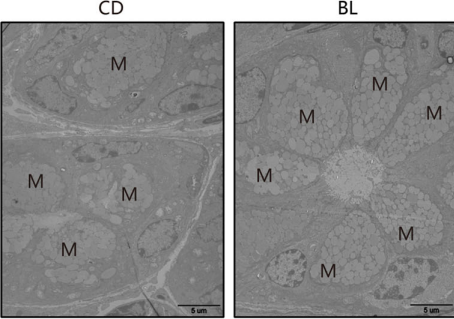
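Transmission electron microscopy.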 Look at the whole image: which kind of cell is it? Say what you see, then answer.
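Cells whose cytoplasm is filled with masses of pale round granules. In one image the granule-filled cells are arranged radially around a small central lumen. On this evidence: goblet cells.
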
